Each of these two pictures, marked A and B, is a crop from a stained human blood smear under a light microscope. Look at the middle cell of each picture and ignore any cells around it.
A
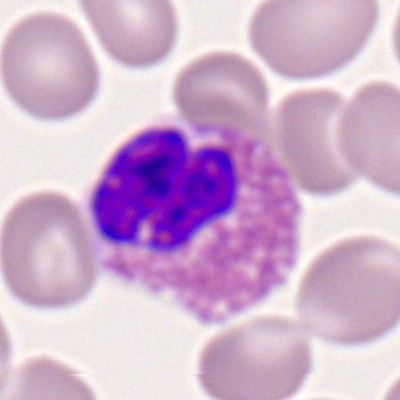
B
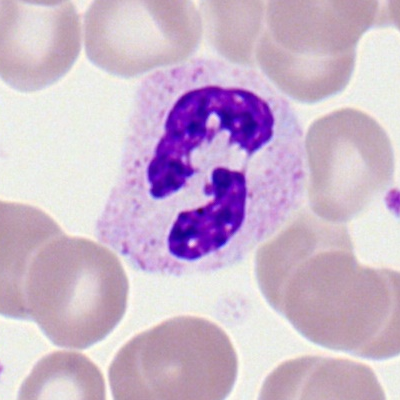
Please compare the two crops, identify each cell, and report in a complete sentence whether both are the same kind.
No, an eosinophil and a segmented neutrophil are found in crop A and crop B, respectively.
